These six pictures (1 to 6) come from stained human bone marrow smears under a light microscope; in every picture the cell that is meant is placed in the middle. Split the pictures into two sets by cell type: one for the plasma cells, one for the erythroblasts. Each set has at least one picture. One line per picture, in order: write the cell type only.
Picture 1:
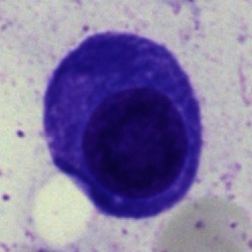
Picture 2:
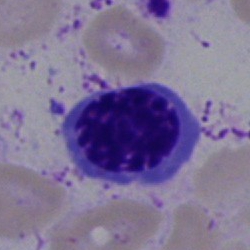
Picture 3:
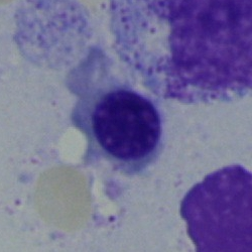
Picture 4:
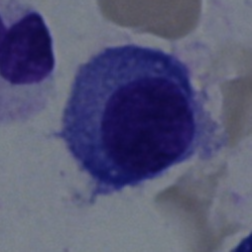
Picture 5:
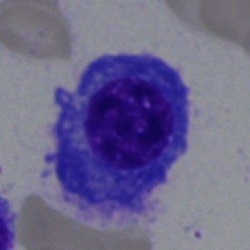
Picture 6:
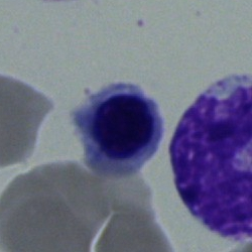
plasma cell
erythroblast
erythroblast
plasma cell
plasma cell
erythroblast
